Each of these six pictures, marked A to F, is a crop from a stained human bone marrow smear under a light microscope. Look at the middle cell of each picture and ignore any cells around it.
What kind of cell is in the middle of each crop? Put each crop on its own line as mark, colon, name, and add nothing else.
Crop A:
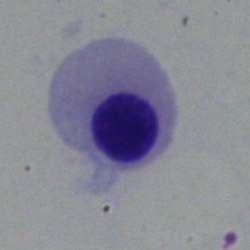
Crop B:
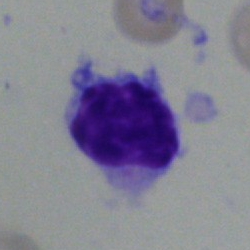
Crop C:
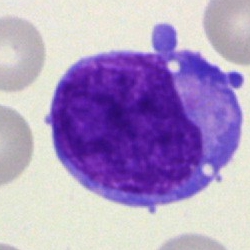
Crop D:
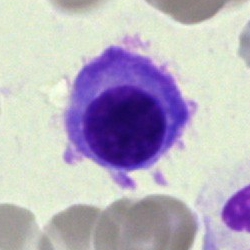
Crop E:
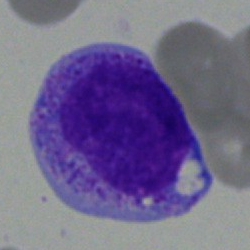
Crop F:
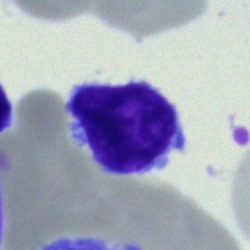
A: erythroblast
B: hairy cell
C: blast
D: plasma cell
E: myelocyte
F: lymphocyte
